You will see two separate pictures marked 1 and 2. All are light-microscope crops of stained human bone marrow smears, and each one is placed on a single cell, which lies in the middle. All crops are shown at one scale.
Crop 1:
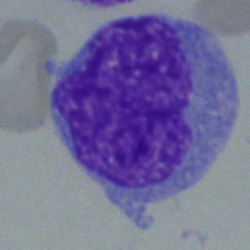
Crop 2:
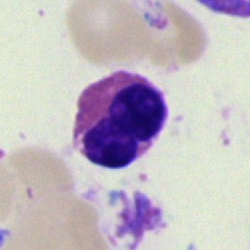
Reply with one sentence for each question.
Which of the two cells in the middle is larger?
Crop 1 holds the larger cell; it covers about 4 times the area of the cell in crop 2.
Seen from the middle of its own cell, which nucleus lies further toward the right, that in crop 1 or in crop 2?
The nucleus in crop 2 lies further toward the right of its cell.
